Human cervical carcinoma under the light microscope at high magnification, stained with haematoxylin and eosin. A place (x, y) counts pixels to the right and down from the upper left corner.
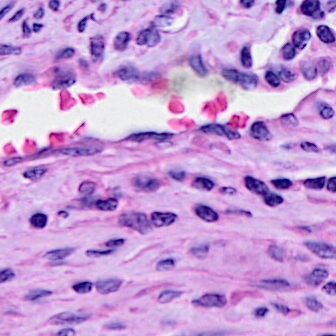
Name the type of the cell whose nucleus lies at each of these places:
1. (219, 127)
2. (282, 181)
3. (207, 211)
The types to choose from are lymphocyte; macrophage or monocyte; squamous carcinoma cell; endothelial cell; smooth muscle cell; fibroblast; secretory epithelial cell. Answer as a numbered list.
1. endothelial cell
2. lymphocyte
3. lymphocyte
